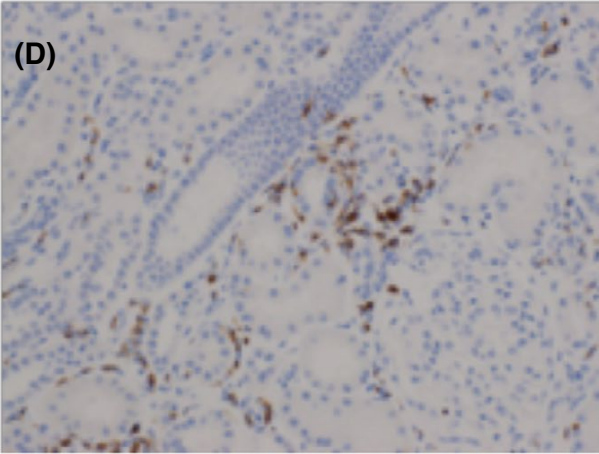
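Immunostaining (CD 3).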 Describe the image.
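Renal tissue with pale tubules whose epithelial nuclei are stained blue, and a long tubular profile running diagonally across the field. In the interstitium between the tubules lie scattered small cells stained brown, some rounded, some irregular, gathered most densely near the centre and right, with others strung along the lower left.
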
